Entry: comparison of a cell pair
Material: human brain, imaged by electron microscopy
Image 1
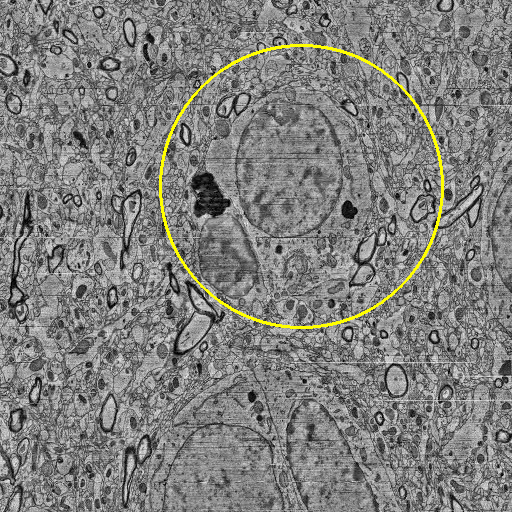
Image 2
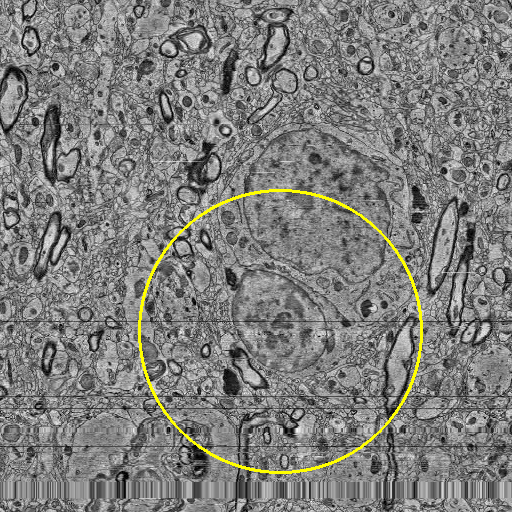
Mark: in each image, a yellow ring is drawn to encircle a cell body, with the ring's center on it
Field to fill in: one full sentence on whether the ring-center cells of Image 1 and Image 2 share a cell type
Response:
No, Image 1 and Image 2 show ring-center cells of two separate types.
